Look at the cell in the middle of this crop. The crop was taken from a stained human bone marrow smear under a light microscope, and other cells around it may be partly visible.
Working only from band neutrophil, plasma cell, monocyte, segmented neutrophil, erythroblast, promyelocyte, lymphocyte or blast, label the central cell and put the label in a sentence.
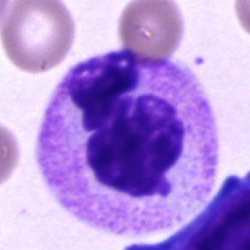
The cell nearest the centre of this crop is a segmented neutrophil.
